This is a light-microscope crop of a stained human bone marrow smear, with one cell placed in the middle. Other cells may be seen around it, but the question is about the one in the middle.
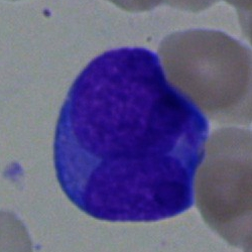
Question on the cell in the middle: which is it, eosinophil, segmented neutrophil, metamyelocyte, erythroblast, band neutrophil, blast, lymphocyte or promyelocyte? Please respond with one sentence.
In this crop, the cell at the very middle is a blast.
